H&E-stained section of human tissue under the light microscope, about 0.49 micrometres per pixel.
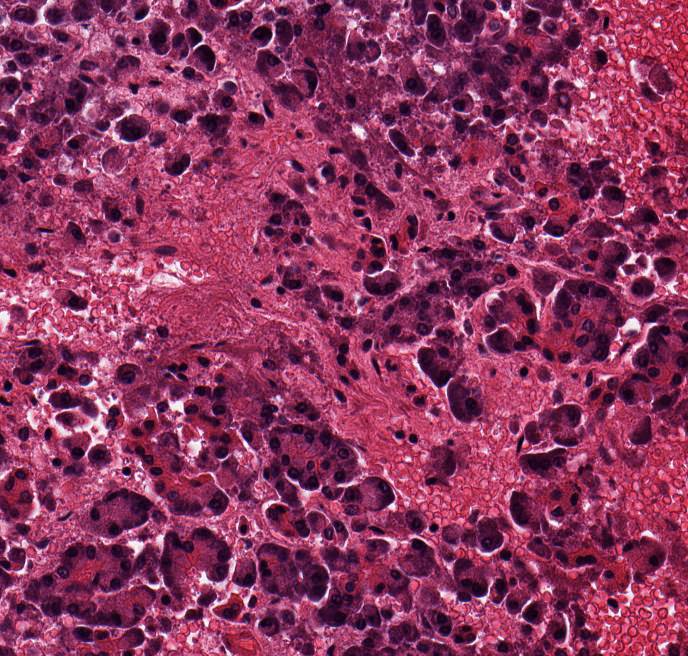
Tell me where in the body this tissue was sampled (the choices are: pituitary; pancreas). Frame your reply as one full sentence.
This mounted section holds tissue from the pancreas.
